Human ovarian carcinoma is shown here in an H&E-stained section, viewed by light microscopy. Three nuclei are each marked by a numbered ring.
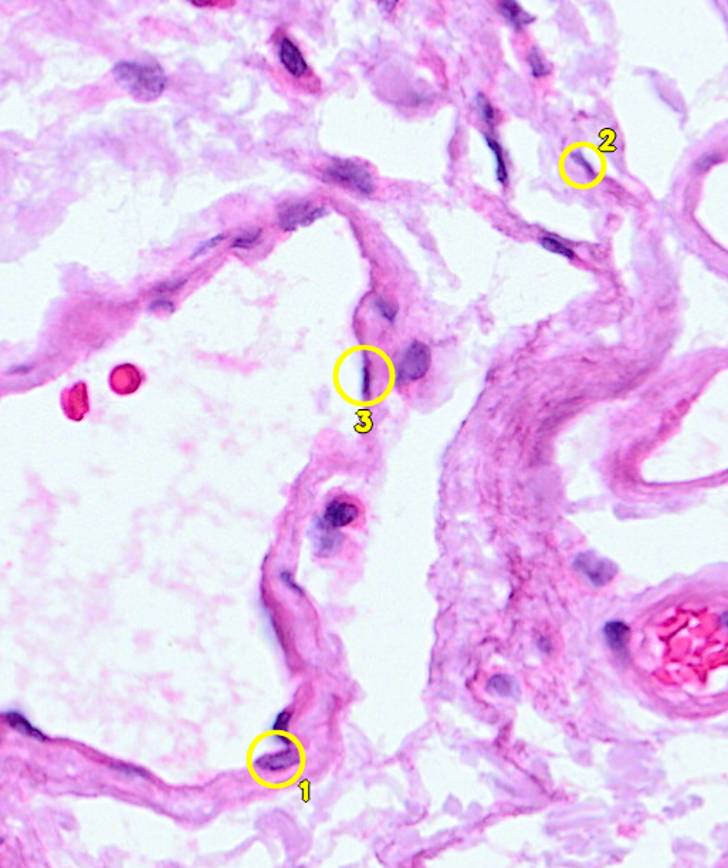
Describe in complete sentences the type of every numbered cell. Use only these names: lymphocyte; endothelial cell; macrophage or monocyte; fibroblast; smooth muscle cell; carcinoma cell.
Cells 1 and 3 are endothelial cells. Cell 2 is a fibroblast.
